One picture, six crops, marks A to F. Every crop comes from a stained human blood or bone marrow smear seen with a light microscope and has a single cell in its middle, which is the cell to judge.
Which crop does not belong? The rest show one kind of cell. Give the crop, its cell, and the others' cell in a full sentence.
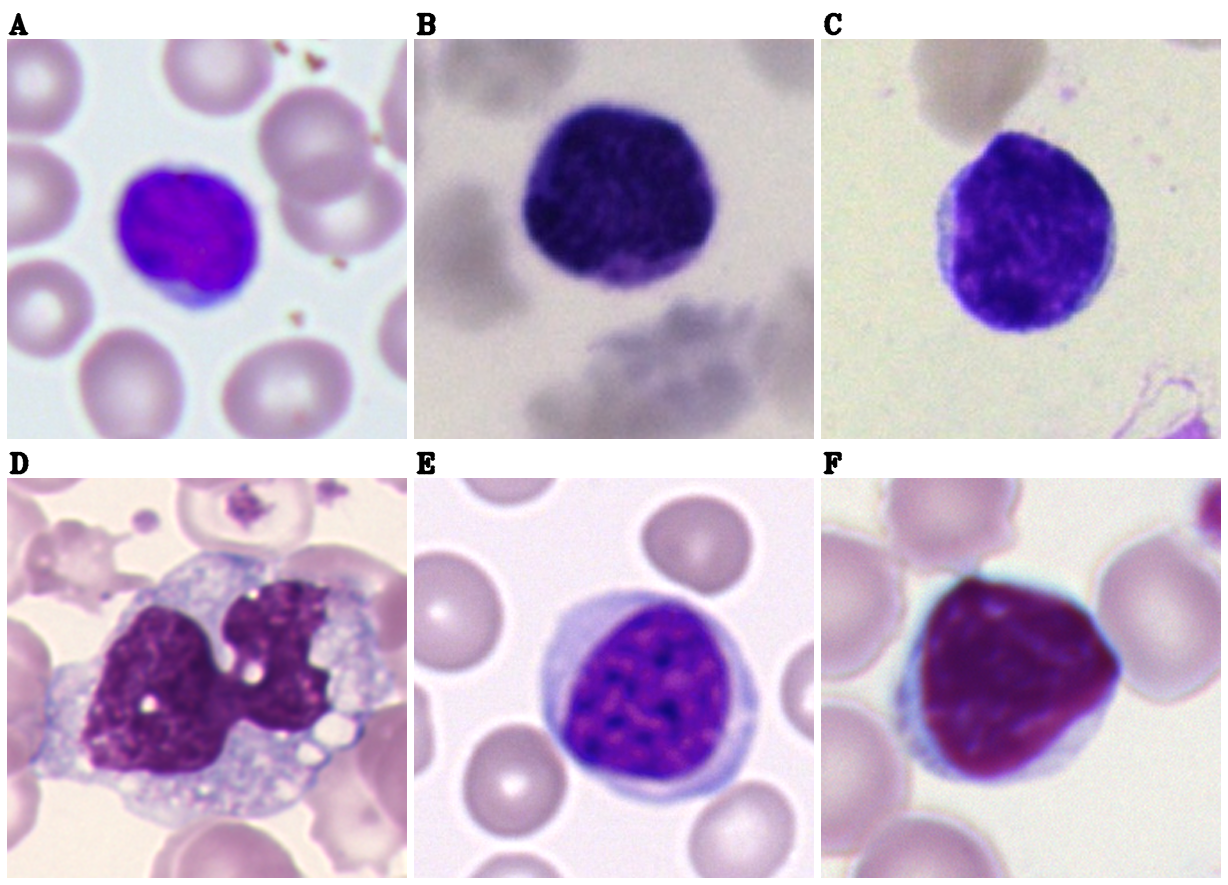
With the other crops all showing lymphocytes, crop D differs by showing a monocyte.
